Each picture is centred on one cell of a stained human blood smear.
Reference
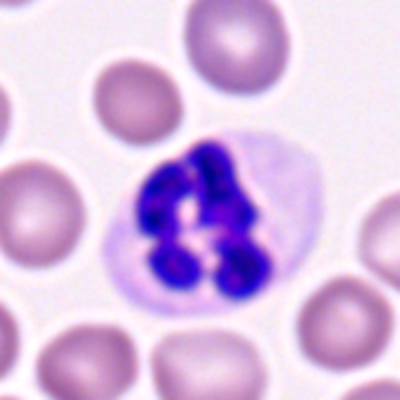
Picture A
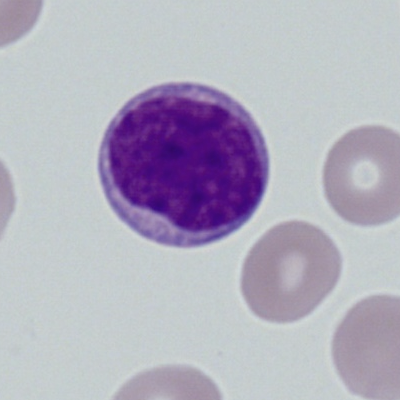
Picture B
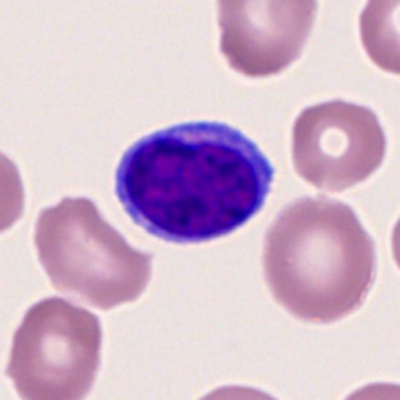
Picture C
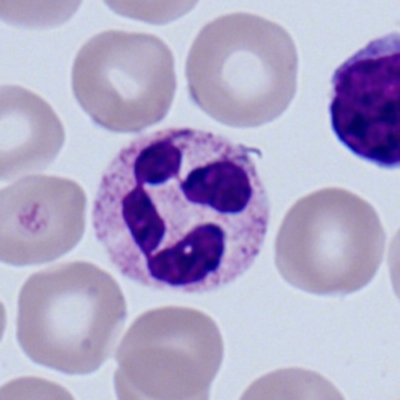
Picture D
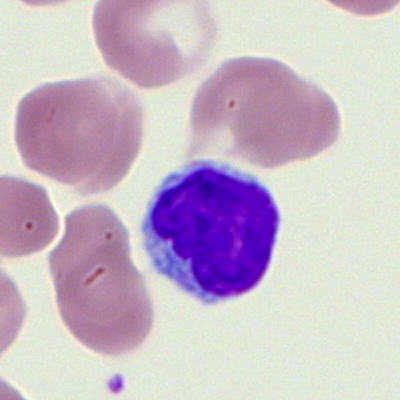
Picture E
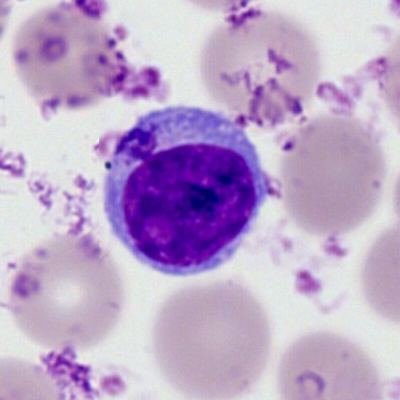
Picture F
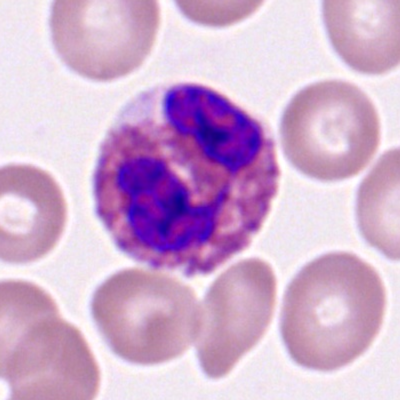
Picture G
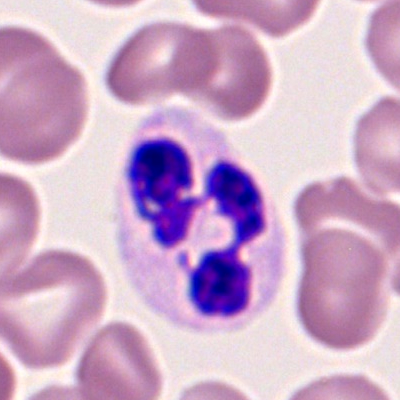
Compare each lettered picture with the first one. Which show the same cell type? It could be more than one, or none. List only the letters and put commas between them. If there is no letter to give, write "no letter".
C, G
